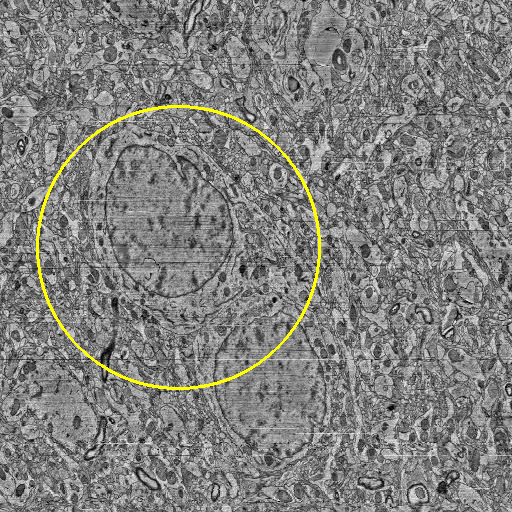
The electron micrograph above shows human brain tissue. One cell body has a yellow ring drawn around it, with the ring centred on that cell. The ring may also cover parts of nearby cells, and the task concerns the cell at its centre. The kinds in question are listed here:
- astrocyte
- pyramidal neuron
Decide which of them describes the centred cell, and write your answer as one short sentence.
The centred cell is a pyramidal neuron.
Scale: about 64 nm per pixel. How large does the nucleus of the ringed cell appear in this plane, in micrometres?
In this plane, approximately 10 by 8 micrometers.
